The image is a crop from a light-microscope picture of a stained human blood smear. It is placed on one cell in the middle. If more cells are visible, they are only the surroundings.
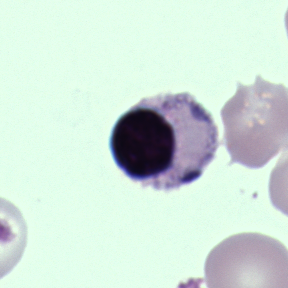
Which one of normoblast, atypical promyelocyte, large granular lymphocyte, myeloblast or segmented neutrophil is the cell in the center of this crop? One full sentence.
Regarding the central cell, it is a normoblast.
